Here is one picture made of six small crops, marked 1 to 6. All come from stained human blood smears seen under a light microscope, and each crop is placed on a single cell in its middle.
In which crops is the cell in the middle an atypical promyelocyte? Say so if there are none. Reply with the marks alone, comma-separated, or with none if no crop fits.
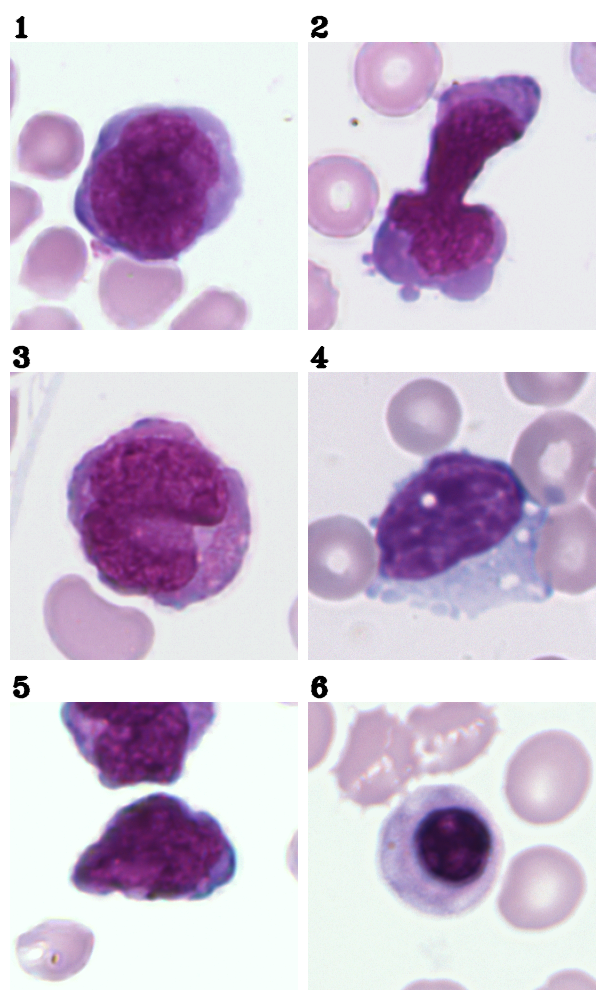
1, 2, 3, 5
